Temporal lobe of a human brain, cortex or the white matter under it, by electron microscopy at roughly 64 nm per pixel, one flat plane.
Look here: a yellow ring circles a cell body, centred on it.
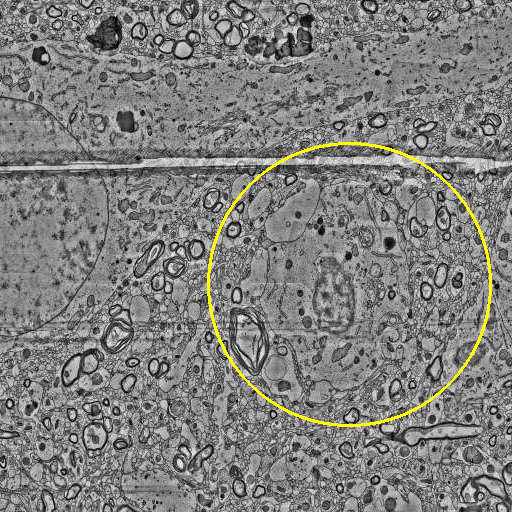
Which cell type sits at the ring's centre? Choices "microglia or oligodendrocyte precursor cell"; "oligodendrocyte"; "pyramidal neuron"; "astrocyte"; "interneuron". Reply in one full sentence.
The cell at the centre of the yellow ring in the picture is an interneuron.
